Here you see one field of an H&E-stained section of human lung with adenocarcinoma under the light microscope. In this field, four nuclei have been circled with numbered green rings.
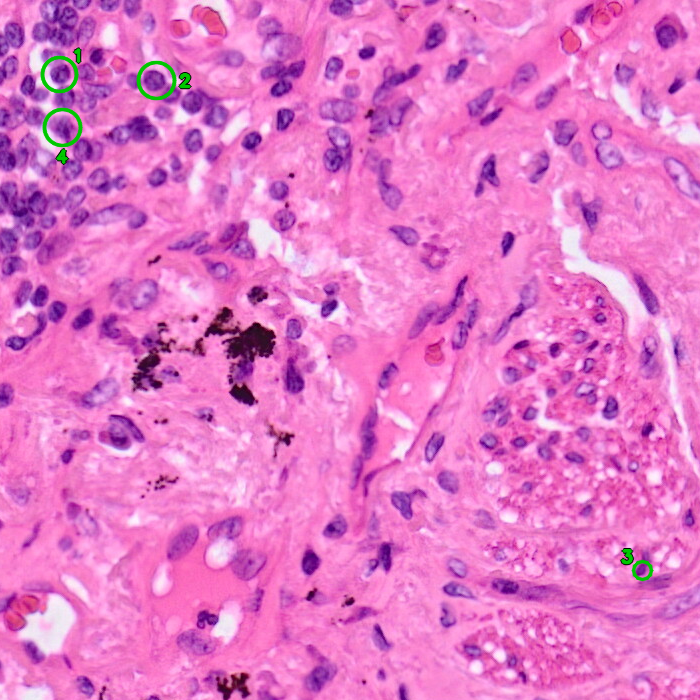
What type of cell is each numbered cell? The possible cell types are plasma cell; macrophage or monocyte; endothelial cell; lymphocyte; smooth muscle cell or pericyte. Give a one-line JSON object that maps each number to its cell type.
{"1": "lymphocyte", "2": "lymphocyte", "3": "smooth muscle cell or pericyte", "4": "lymphocyte"}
